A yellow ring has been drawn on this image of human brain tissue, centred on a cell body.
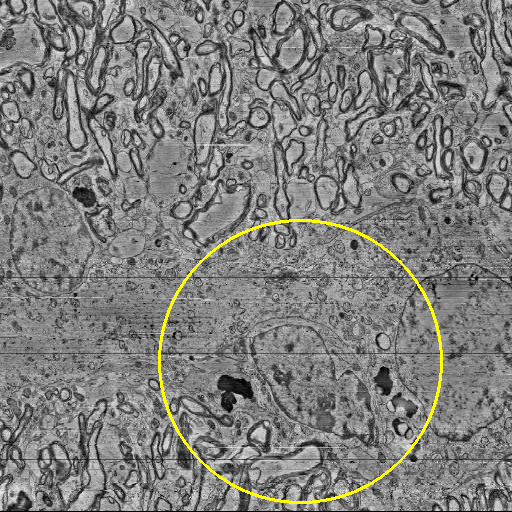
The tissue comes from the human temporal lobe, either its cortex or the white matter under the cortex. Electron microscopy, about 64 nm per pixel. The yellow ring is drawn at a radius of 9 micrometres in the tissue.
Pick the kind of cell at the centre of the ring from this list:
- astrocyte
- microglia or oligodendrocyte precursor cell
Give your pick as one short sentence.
The centre of the ring holds a microglial cell or oligodendrocyte precursor cell.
